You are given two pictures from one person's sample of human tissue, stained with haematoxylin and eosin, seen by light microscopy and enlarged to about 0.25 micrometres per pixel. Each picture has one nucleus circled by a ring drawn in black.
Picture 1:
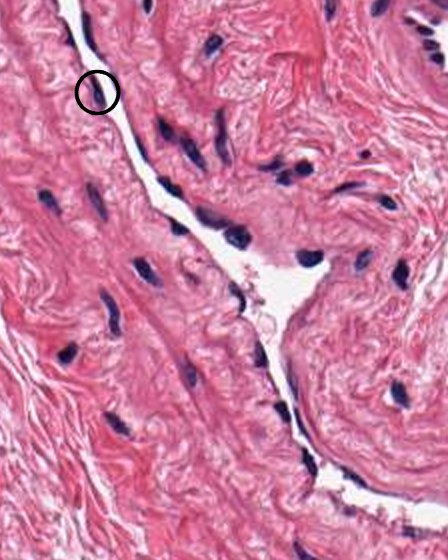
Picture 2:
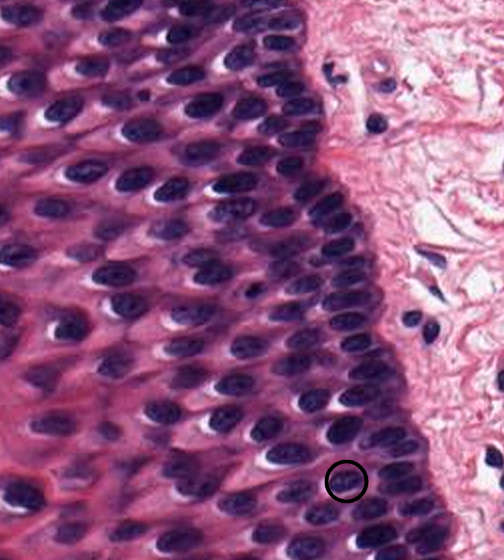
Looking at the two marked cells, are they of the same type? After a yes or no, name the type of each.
No, the first is an endothelial cell and the second a squamous epithelial cell.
